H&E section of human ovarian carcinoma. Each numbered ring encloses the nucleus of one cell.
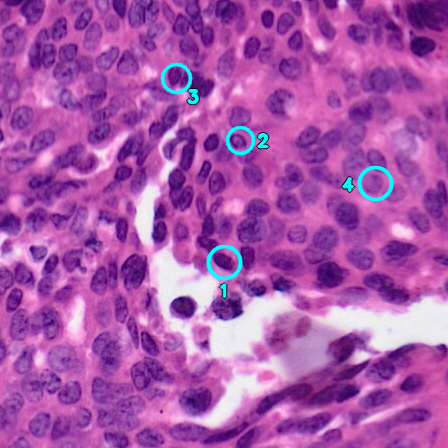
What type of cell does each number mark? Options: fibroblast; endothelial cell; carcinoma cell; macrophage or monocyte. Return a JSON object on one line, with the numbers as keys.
{"1": "carcinoma cell", "2": "macrophage or monocyte", "3": "carcinoma cell", "4": "carcinoma cell"}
